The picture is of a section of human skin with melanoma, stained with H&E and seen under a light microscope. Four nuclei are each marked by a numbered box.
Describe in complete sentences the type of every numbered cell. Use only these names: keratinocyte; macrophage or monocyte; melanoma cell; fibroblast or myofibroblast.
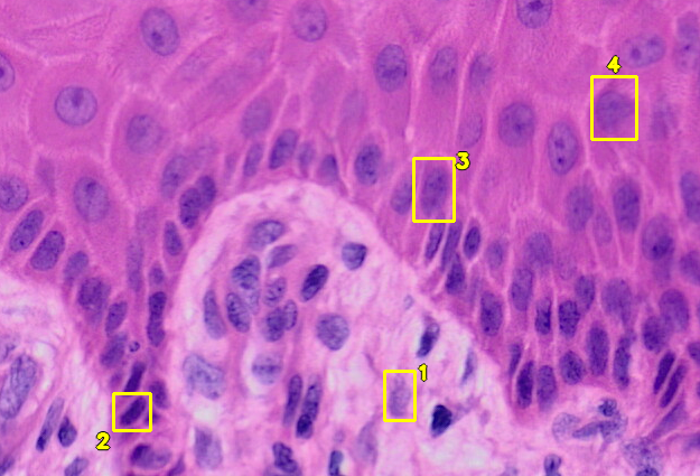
Cell 1 is a fibroblast or myofibroblast, cell 2 is a keratinocyte, cell 3 is a keratinocyte and cell 4 is a keratinocyte.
